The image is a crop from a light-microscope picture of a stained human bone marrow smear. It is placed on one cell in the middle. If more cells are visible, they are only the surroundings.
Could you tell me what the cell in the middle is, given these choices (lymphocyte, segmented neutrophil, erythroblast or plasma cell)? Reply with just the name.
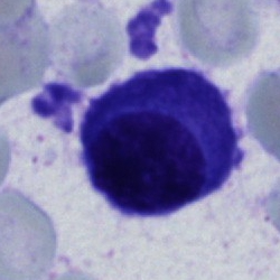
plasma cell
